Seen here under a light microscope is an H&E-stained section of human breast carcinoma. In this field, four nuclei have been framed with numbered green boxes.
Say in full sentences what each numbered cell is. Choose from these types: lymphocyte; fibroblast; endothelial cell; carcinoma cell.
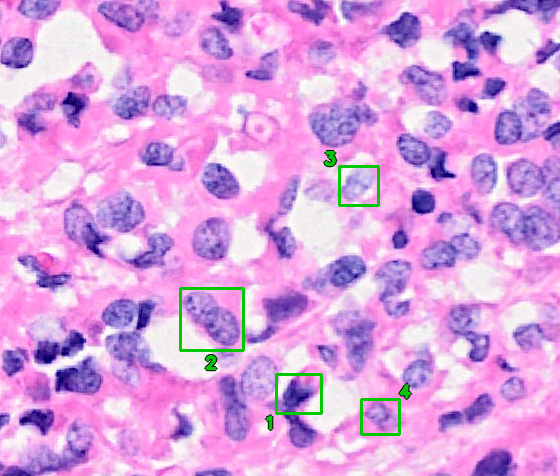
Cell 1 is a carcinoma cell, cell 2 is a carcinoma cell, cell 3 is a carcinoma cell and cell 4 is an endothelial cell.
